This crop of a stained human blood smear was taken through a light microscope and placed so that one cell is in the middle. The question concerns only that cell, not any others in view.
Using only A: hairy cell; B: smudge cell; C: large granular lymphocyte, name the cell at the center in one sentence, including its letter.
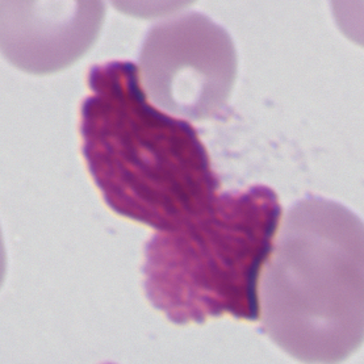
That cell in the center is a smudge cell, hence option B.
